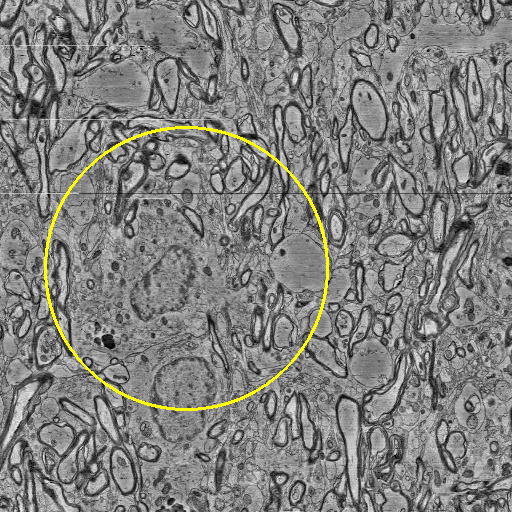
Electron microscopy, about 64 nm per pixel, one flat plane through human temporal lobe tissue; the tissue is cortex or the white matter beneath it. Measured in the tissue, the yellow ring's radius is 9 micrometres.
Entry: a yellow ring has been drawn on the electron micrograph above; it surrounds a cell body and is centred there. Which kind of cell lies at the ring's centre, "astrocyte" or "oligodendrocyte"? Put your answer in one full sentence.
The cell sitting at the ring's centre is an astrocyte in the micrograph above.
